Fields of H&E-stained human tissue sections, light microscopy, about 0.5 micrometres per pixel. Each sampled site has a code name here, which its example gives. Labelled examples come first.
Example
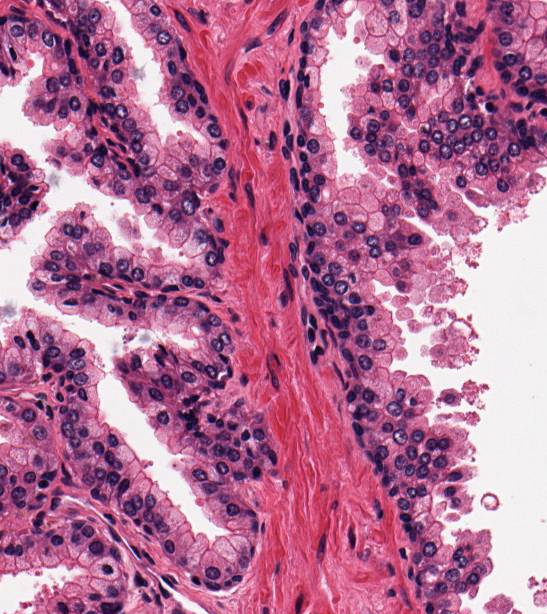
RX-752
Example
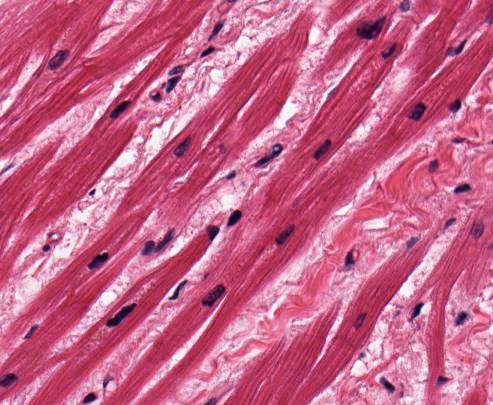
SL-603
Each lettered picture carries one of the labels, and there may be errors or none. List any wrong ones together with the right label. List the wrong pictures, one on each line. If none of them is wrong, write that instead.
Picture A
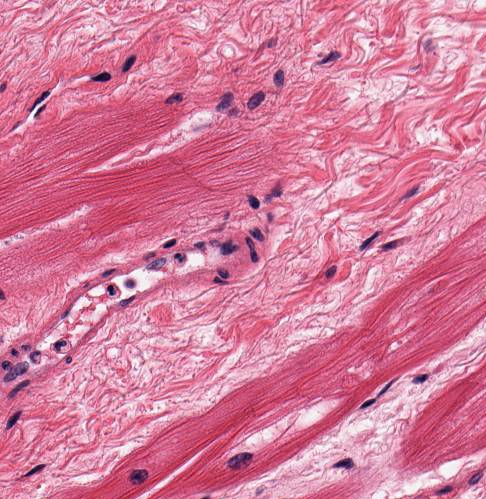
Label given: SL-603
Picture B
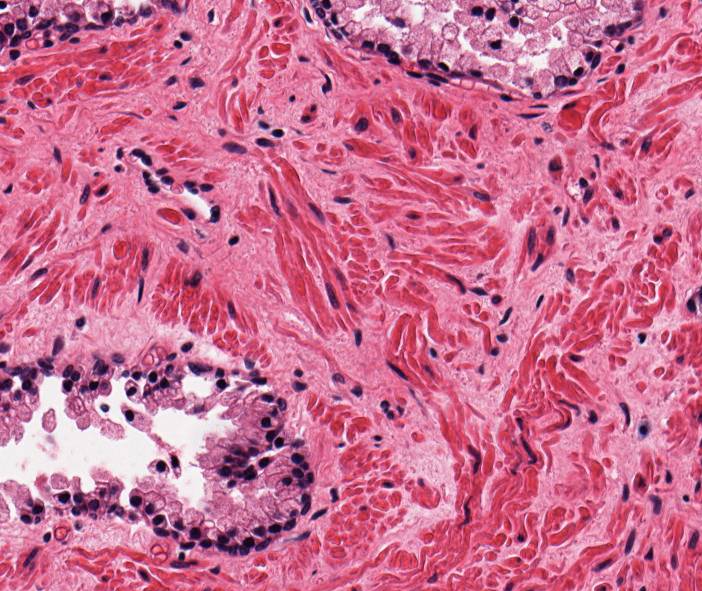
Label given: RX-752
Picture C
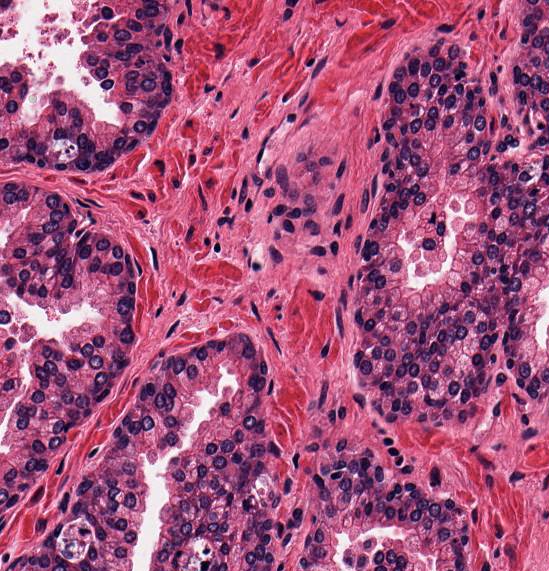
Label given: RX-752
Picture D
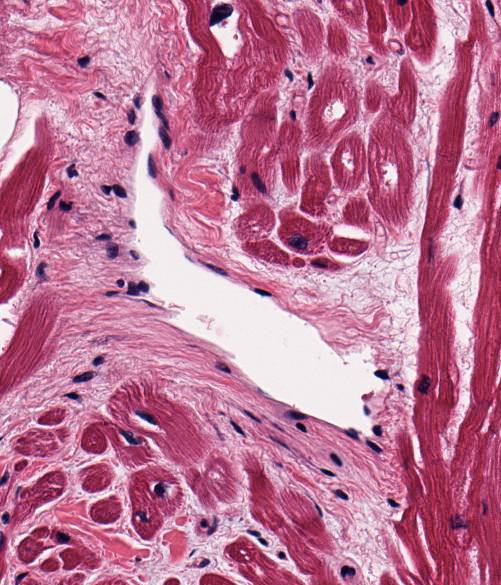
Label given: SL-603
All labels are correct.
